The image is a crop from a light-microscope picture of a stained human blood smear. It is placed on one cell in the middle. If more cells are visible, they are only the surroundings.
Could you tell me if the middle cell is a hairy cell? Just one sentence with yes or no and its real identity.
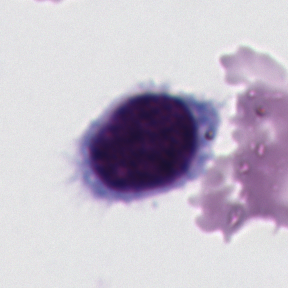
Yes, the middle cell is classified as a hairy cell.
